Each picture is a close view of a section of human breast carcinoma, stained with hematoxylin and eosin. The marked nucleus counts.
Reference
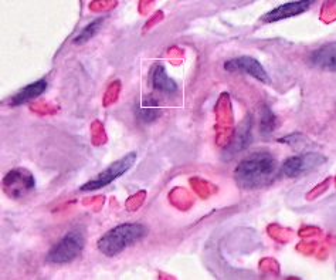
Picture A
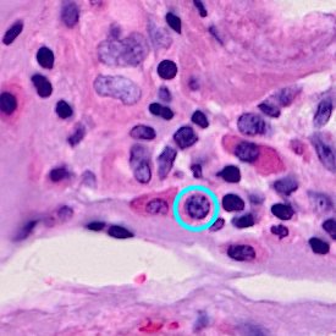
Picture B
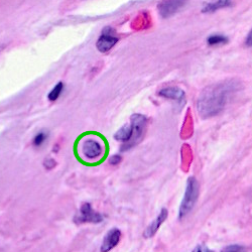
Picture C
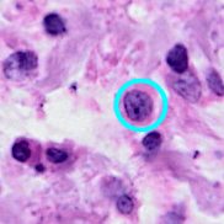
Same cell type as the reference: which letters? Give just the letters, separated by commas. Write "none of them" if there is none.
none of them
